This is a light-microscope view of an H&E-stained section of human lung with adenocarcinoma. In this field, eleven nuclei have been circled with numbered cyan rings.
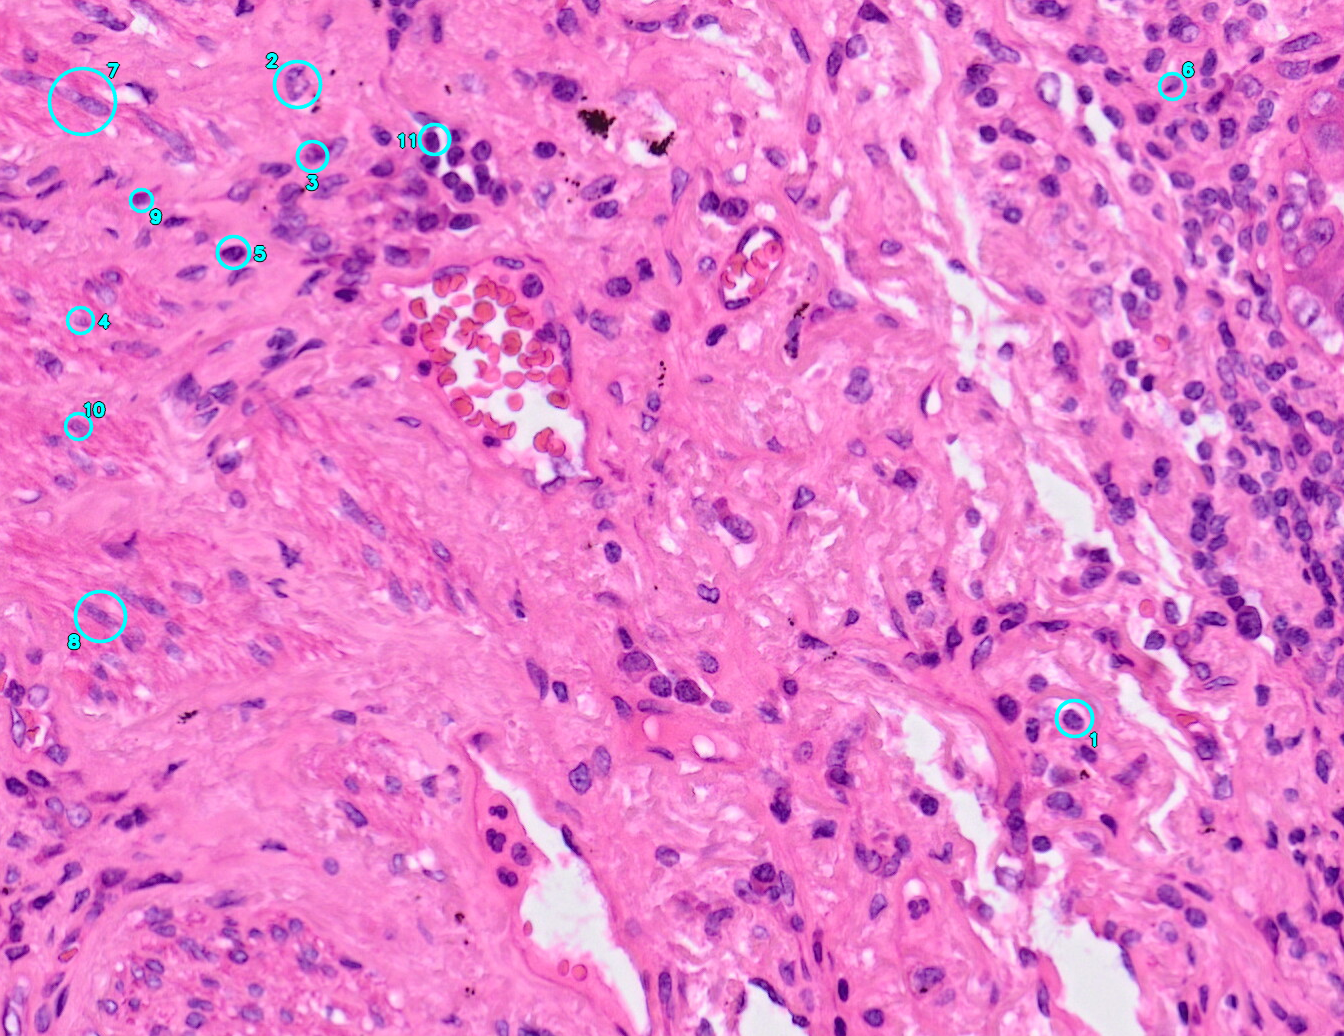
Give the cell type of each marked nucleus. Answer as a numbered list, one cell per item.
1. lymphocyte
2. fibroblast
3. plasma cell
4. smooth muscle cell or pericyte
5. plasma cell
6. lymphocyte
7. smooth muscle cell or pericyte
8. smooth muscle cell or pericyte
9. plasma cell
10. smooth muscle cell or pericyte
11. lymphocyte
